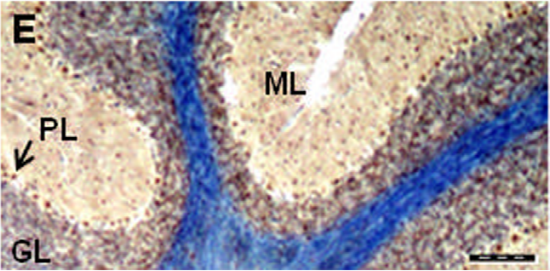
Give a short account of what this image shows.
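This is the cerebellar cortex, seen as folds with its layers clearly separated. The outer molecular layer is pale tan with only sparse small nuclei scattered through it. Beneath it, the granular layer is a broad band of tightly packed small dark nuclei. The purkinje cell layer lies at the border between these two layers. A band stained blue runs through the centre of the folds, beneath the granular layer.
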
